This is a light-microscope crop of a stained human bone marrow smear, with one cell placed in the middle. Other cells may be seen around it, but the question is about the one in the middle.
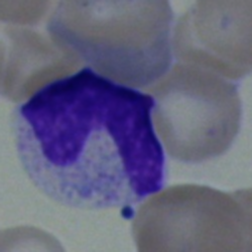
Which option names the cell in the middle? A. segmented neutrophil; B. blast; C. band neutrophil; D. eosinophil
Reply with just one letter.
C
